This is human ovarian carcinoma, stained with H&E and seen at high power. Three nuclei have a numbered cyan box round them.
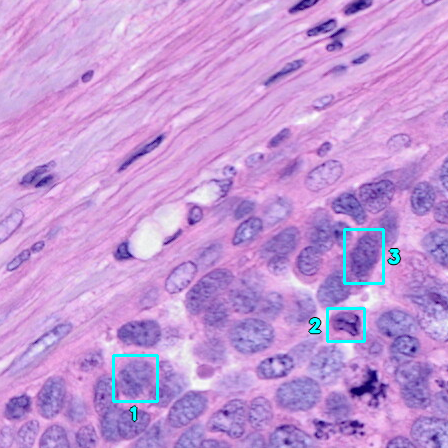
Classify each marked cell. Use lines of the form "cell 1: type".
cell 1: carcinoma cell
cell 2: macrophage or monocyte
cell 3: carcinoma cell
